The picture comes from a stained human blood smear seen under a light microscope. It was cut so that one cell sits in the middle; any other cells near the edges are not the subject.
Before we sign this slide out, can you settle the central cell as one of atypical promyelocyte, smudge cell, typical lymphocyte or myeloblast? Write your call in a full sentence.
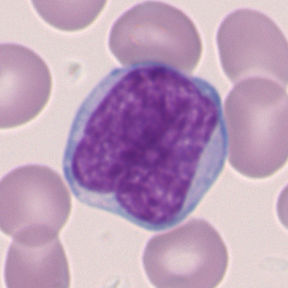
The target cell in the middle of the crop is a myeloblast.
